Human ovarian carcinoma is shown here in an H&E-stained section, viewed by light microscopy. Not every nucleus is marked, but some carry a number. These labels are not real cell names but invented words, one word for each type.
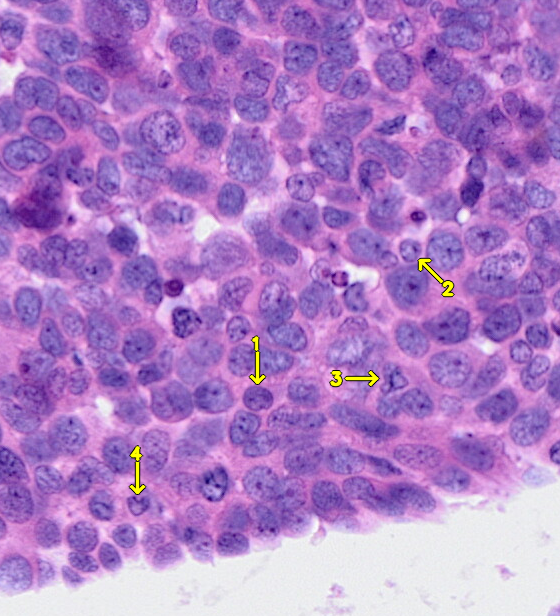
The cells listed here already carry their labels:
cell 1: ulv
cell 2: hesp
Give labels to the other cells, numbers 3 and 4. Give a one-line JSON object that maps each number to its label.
{"3": "hesp", "4": "hesp"}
